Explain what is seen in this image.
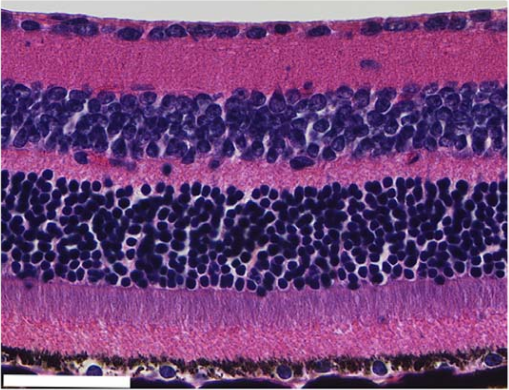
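Layered retina in cross section with an intact, orderly sequence of bands. A sparse row of nuclei at the inner surface overlies a wide pink fibrous layer, a multi-row band of rounded purple nuclei, a thin pink band, and a thick band of crowded dark round nuclei.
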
